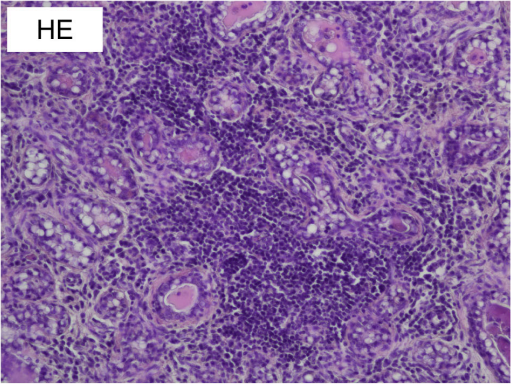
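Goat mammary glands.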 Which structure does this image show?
aggregation of lymphocytes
